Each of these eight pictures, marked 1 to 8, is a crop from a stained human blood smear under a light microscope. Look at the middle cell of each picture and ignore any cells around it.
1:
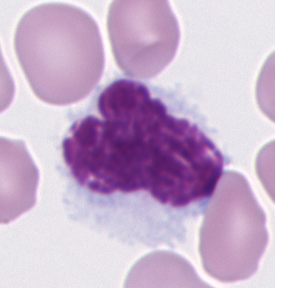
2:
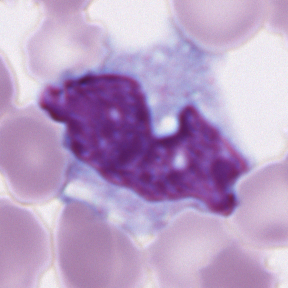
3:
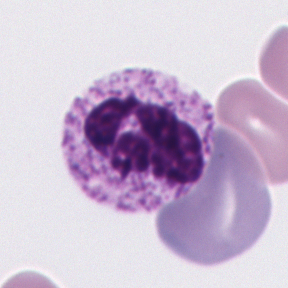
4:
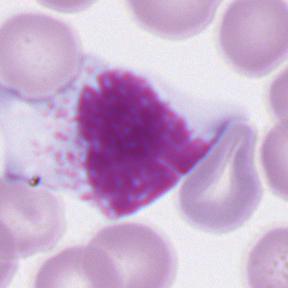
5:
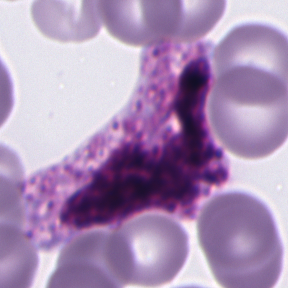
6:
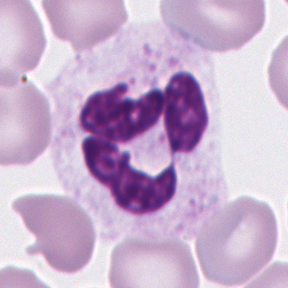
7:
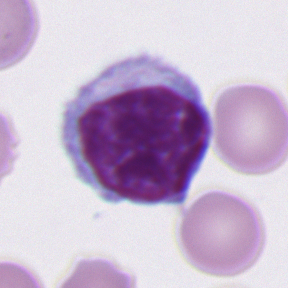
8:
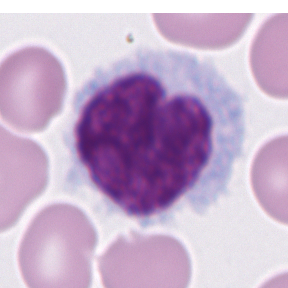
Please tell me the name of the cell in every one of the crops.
1: hairy cell
2: monocyte
3: neutrophil
4: large granular lymphocyte
5: basophil
6: neutrophil
7: typical lymphocyte
8: hairy cell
